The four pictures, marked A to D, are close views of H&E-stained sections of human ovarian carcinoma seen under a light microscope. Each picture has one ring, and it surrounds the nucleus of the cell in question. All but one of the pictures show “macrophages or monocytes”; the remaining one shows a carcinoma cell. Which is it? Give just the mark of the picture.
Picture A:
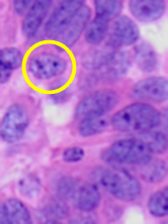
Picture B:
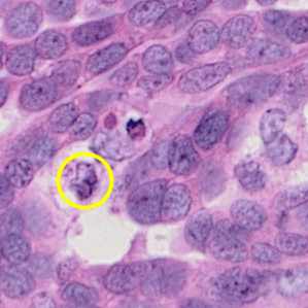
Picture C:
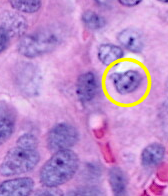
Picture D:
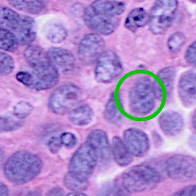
D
